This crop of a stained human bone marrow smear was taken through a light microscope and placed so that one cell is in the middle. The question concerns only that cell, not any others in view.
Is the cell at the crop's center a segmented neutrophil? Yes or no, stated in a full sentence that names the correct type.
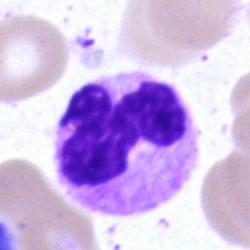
Yes, what sits in the centre of the crop is a segmented neutrophil.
